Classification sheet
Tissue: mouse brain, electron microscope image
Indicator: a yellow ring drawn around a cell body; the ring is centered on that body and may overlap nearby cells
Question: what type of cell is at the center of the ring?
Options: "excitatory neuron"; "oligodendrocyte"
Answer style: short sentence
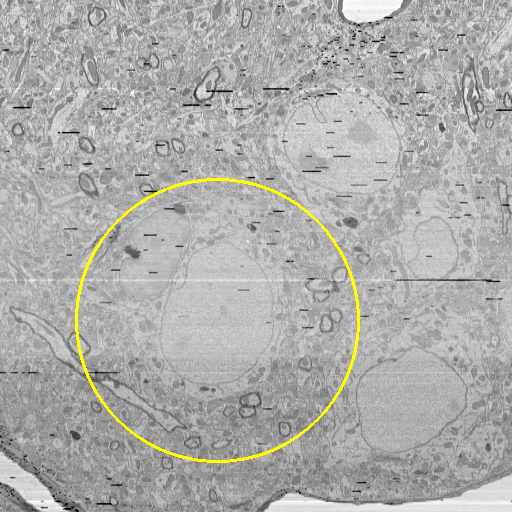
At the ring's center is an excitatory neuron.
